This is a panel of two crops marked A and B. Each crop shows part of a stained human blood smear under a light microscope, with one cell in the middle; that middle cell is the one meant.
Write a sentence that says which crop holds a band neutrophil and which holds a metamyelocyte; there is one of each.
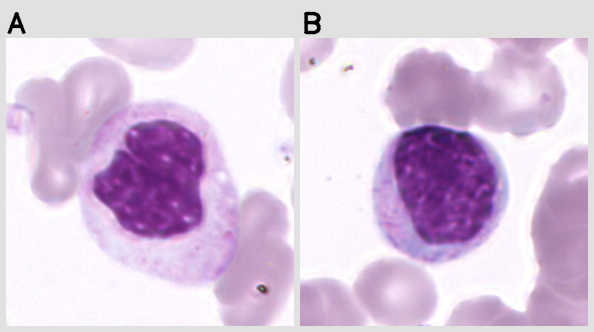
The cell that crop A centres on is a band neutrophil, and the cell that crop B centres on is a metamyelocyte.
